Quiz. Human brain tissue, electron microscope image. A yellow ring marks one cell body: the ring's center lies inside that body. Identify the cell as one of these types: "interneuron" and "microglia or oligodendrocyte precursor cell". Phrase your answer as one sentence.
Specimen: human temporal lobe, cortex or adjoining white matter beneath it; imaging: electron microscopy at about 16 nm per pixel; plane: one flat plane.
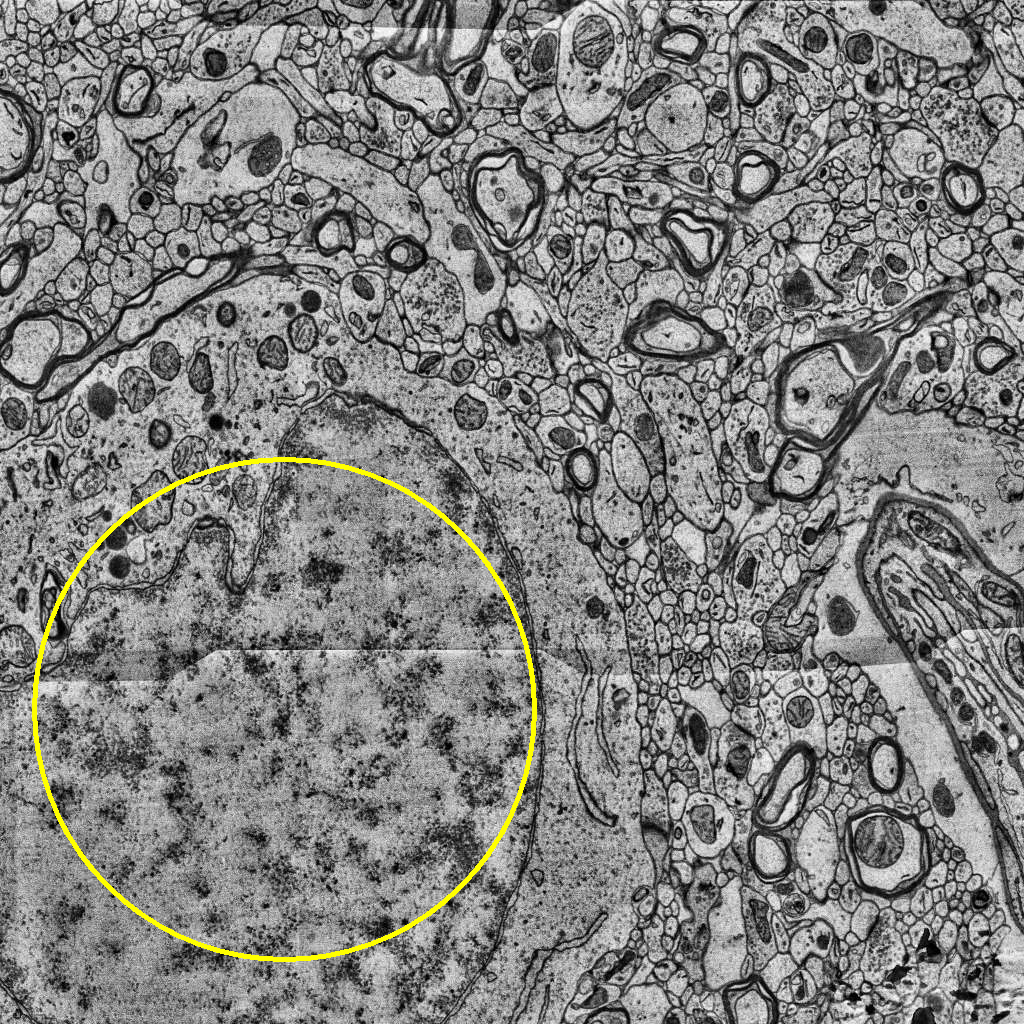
At the center of the ring sits an interneuron.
